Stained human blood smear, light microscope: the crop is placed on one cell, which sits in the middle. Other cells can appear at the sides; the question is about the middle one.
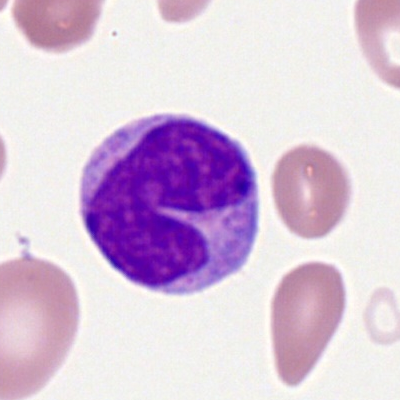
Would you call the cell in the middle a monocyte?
yes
